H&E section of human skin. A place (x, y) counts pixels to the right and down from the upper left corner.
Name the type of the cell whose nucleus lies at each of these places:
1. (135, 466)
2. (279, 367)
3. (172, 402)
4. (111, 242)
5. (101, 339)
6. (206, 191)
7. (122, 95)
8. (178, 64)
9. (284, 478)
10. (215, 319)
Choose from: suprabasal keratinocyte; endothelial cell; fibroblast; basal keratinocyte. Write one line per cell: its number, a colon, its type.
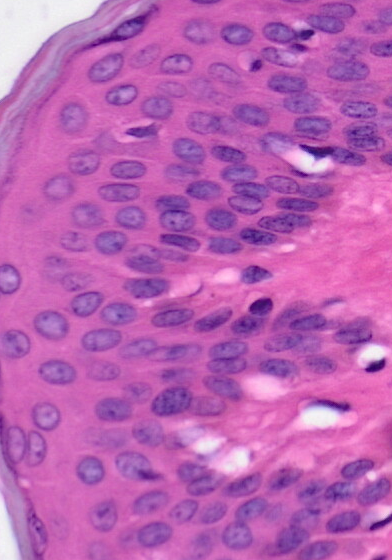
1: suprabasal keratinocyte
2: basal keratinocyte
3: basal keratinocyte
4: suprabasal keratinocyte
5: suprabasal keratinocyte
6: suprabasal keratinocyte
7: suprabasal keratinocyte
8: suprabasal keratinocyte
9: basal keratinocyte
10: basal keratinocyte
